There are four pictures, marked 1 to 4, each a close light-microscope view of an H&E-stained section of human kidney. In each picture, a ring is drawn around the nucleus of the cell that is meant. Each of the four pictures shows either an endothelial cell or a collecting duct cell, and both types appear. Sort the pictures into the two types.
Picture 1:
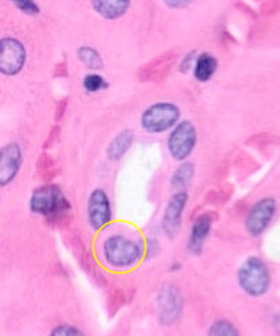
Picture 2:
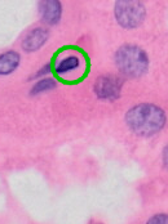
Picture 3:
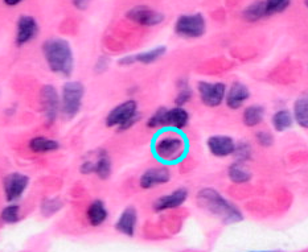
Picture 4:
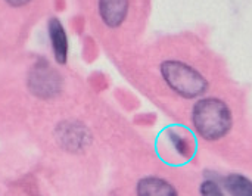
1: collecting duct cell
2: endothelial cell
3: endothelial cell
4: endothelial cell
